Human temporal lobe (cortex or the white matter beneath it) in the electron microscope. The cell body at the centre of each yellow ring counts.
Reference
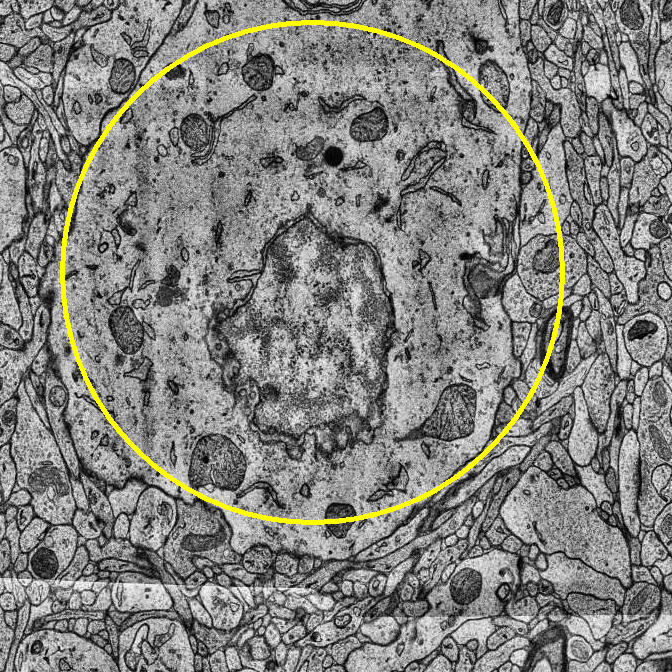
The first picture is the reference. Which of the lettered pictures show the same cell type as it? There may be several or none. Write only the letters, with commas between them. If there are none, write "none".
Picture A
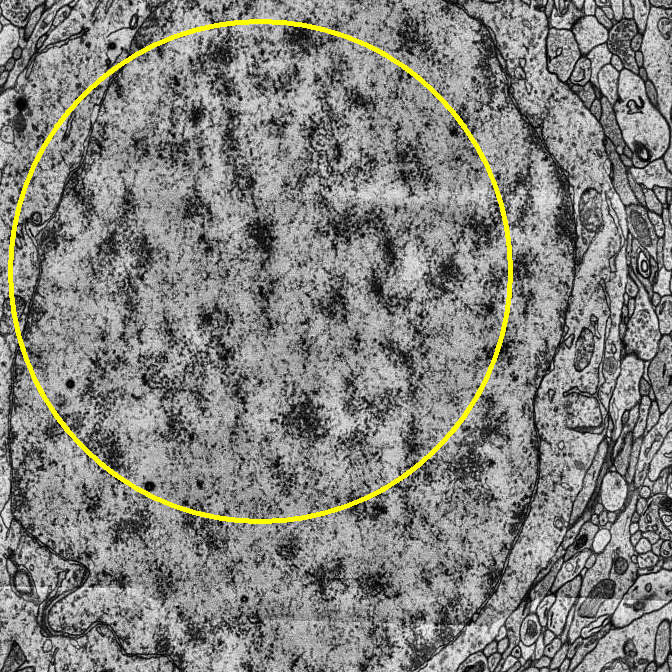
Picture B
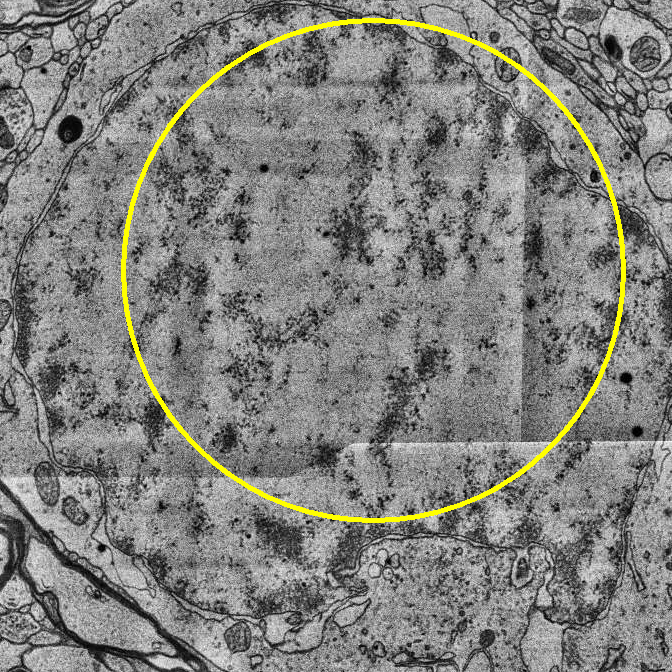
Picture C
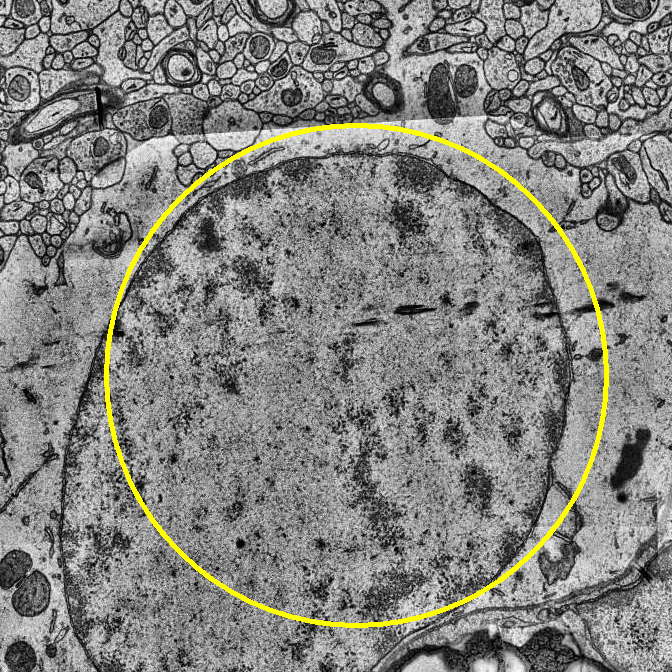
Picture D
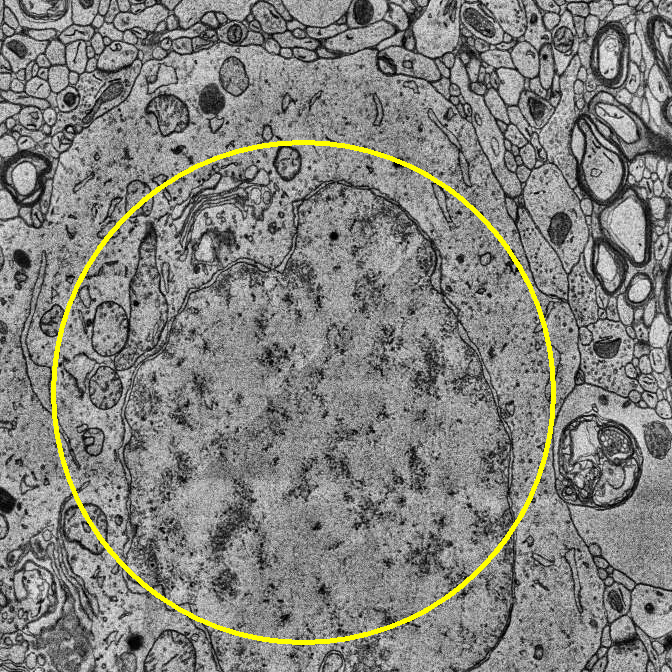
none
